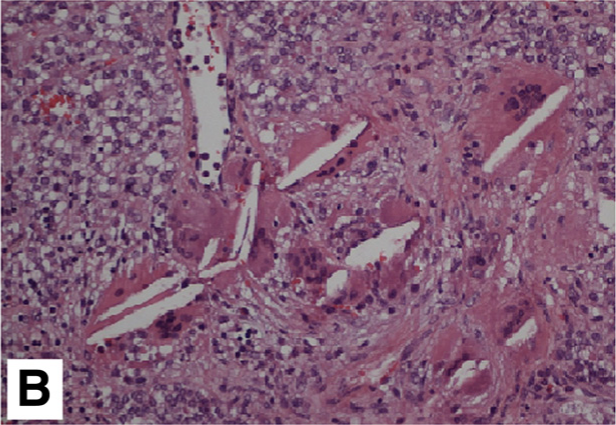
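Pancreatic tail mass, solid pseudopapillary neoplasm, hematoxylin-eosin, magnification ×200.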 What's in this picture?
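This section shows a tumour made of sheets of uniform, loosely arranged cells surrounding a central focus of crystal clefts with giant cells. The tumour cells are small, with round, darkly stained nuclei of similar size and pale, clear cytoplasm, and they lie loosely rather than in tight cohesive groups. A few red blood cells lie near an elongated space at the top.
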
